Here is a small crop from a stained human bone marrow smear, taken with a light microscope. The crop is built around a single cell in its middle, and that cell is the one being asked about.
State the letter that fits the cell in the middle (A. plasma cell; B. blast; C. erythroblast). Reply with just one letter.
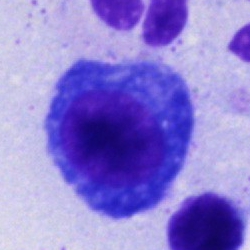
A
